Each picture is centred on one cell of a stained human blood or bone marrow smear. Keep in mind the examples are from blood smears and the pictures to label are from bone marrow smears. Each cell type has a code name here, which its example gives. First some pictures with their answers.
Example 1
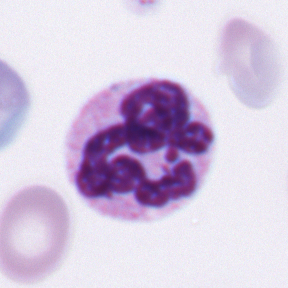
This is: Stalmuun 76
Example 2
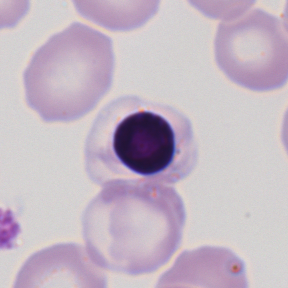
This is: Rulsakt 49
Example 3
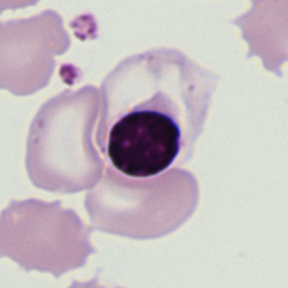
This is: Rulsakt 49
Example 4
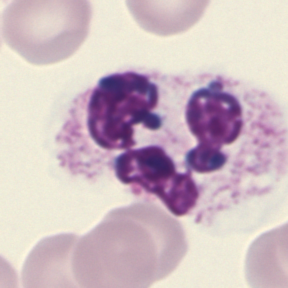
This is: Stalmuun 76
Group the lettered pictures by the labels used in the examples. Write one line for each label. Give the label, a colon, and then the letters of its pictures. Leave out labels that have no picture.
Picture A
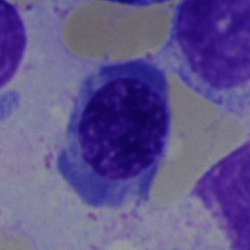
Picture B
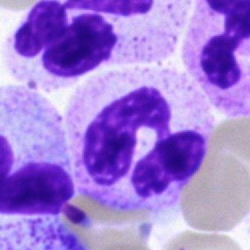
Stalmuun 76: B
Rulsakt 49: A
